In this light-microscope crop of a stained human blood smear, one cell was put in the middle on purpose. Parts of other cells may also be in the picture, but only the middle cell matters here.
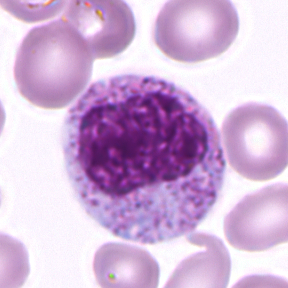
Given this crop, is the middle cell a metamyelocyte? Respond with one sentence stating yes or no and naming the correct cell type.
Yes, the cell that the crop is centred on is a metamyelocyte.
